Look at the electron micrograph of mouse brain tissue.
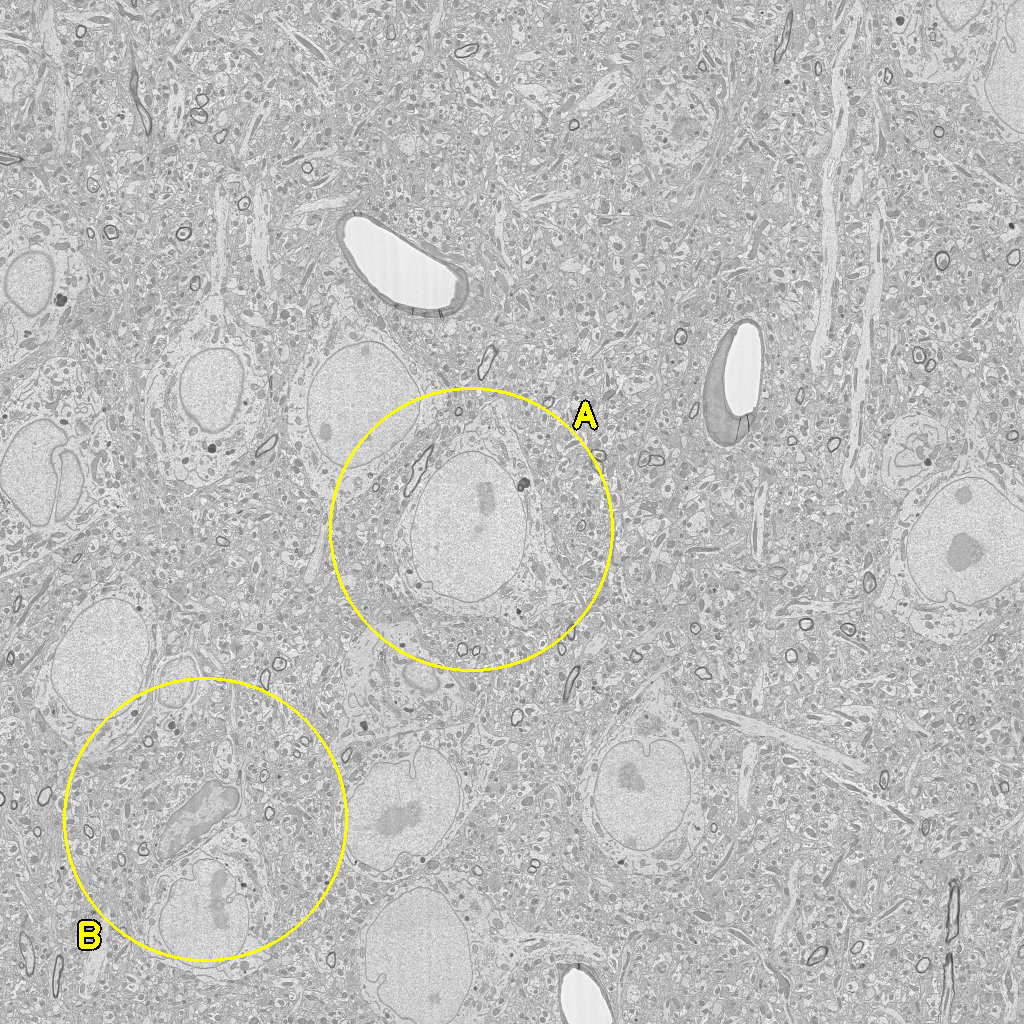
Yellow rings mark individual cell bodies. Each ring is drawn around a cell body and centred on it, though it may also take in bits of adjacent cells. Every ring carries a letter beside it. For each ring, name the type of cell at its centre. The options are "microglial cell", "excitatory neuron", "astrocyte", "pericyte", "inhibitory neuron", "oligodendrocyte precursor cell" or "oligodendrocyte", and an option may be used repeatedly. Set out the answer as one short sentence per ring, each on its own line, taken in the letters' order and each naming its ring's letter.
Ring A is drawn around an excitatory neuron.
Ring B is drawn around a microglial cell.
